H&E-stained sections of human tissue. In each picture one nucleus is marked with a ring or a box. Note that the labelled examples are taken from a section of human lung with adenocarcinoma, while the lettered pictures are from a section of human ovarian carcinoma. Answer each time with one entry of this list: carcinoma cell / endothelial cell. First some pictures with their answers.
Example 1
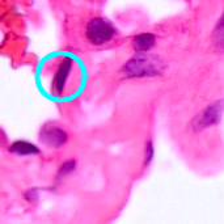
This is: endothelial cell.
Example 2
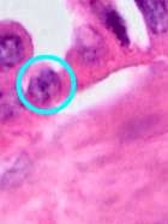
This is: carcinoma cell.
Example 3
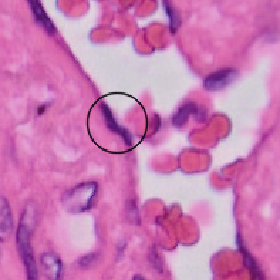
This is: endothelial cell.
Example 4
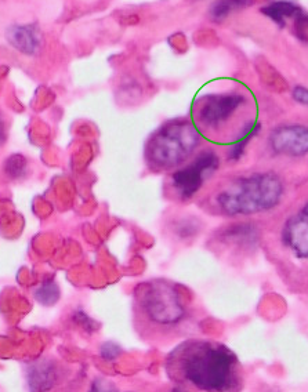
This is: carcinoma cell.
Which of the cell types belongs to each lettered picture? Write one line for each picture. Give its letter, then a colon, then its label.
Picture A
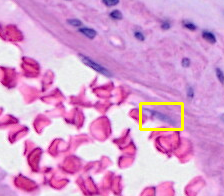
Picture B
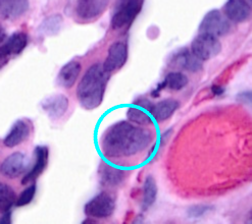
A: endothelial cell.
B: carcinoma cell.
